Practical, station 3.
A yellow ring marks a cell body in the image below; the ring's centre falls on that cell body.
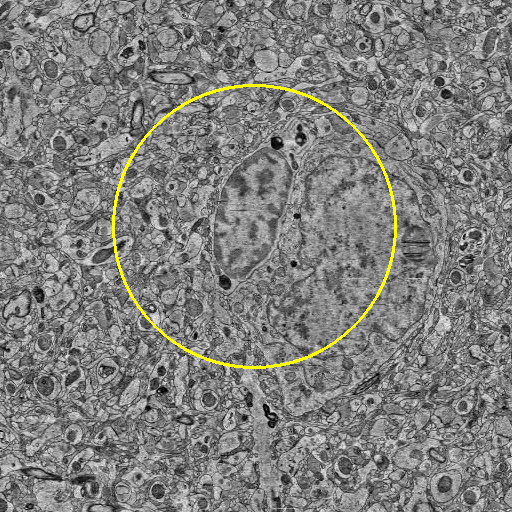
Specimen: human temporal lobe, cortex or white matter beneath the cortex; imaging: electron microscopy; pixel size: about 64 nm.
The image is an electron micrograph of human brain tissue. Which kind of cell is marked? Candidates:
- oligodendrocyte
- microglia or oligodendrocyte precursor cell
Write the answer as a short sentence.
The marked cell body is that of a microglial cell or oligodendrocyte precursor cell.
